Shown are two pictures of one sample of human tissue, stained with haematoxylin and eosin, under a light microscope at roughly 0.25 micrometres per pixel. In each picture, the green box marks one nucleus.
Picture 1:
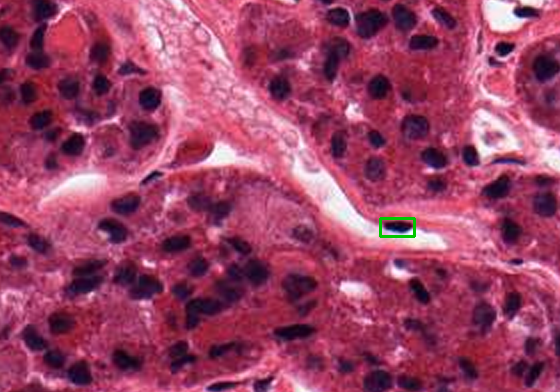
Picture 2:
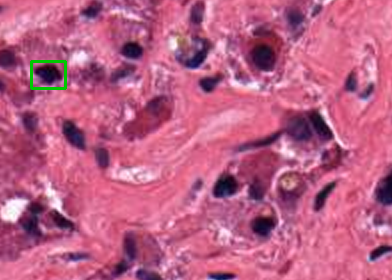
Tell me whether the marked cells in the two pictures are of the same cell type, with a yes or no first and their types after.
No, the first is an endothelial cell and the second an anterior pituitary cell.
